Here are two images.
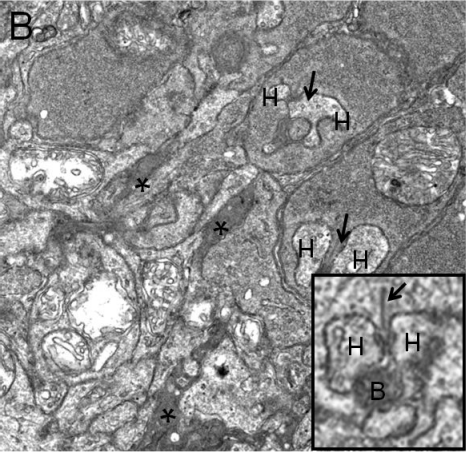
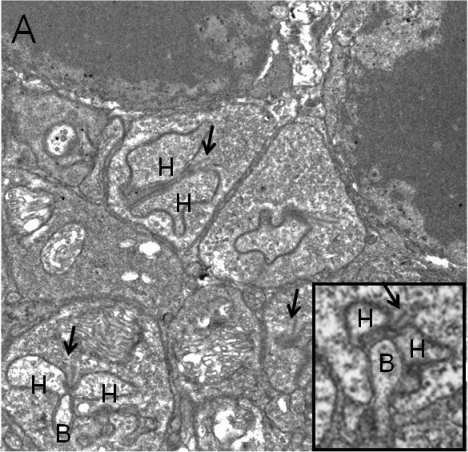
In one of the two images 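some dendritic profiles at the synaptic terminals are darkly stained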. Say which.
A: The first image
